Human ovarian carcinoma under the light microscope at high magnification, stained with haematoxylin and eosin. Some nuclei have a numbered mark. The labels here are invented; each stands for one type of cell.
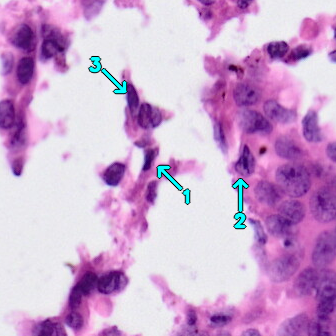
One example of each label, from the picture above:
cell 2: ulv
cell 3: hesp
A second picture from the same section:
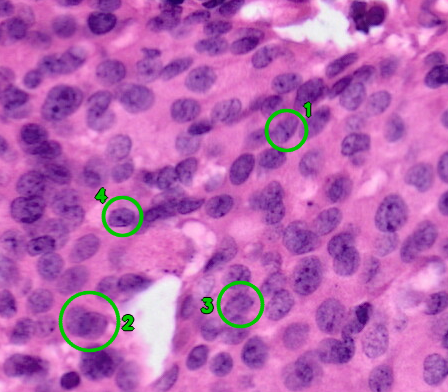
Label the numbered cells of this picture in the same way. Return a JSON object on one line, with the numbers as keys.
{"1": "hesp", "2": "hesp", "3": "hesp", "4": "ulv"}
